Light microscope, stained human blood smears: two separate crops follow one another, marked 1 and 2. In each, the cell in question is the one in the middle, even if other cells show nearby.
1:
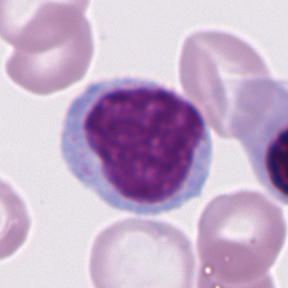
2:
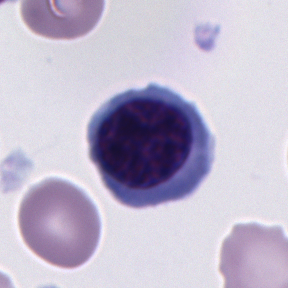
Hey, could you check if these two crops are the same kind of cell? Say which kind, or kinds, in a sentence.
No, in crop 1 there is a typical lymphocyte, and in crop 2 there is a normoblast.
